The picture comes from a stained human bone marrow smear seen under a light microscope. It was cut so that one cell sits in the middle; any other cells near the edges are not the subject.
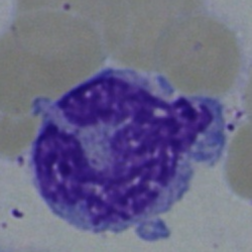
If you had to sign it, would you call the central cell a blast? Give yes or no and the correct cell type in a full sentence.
No, the centrally located cell is a monocyte rather than a blast.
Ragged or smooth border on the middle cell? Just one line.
In outline, the cell is irregular, ragged in stretches or drawn into projections.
